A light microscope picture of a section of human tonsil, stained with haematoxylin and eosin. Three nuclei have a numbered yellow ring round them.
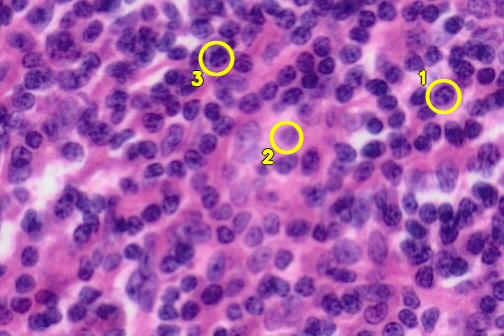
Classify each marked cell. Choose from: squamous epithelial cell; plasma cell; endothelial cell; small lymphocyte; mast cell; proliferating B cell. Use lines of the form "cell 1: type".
cell 1: plasma cell
cell 2: endothelial cell
cell 3: small lymphocyte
